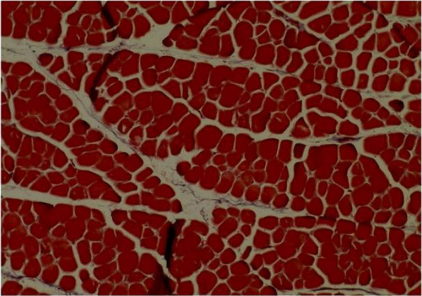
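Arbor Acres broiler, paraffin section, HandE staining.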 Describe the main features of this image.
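This is a transverse section of muscle showing many muscle fibers cut in cross-section, each a polygonal, deep-red profile. The fibers are packed closely into bundles, with thin pale gaps between neighbouring fibers and broader pale bands of connective tissue separating the bundles.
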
